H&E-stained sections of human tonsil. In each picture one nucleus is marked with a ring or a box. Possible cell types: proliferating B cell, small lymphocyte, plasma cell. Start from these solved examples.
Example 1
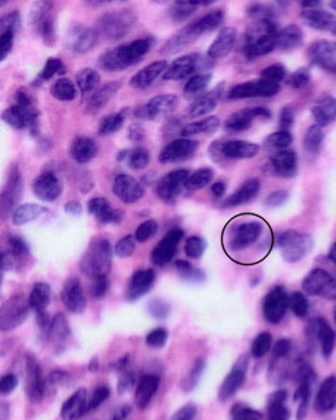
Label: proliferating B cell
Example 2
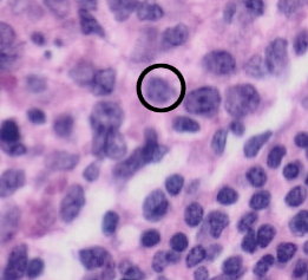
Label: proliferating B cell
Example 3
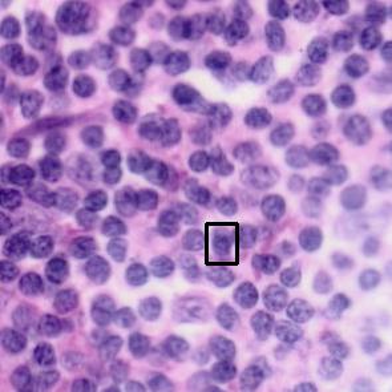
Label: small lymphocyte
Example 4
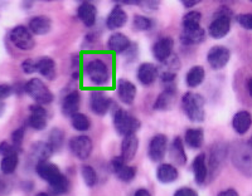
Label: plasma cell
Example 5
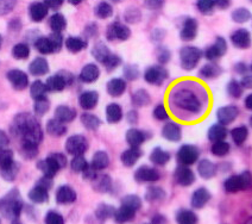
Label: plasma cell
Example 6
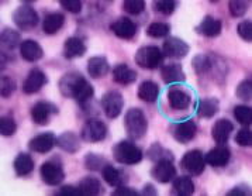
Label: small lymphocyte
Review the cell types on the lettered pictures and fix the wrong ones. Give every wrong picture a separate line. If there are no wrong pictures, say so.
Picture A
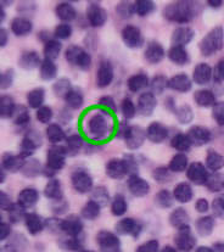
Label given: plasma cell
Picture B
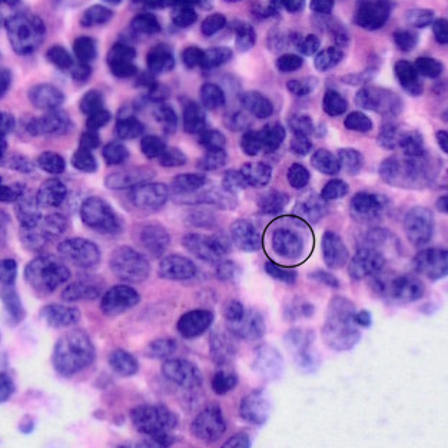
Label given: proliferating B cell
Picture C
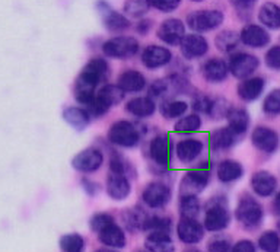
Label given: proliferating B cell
A should be small lymphocyte, not plasma cell
C should be small lymphocyte, not proliferating B cell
